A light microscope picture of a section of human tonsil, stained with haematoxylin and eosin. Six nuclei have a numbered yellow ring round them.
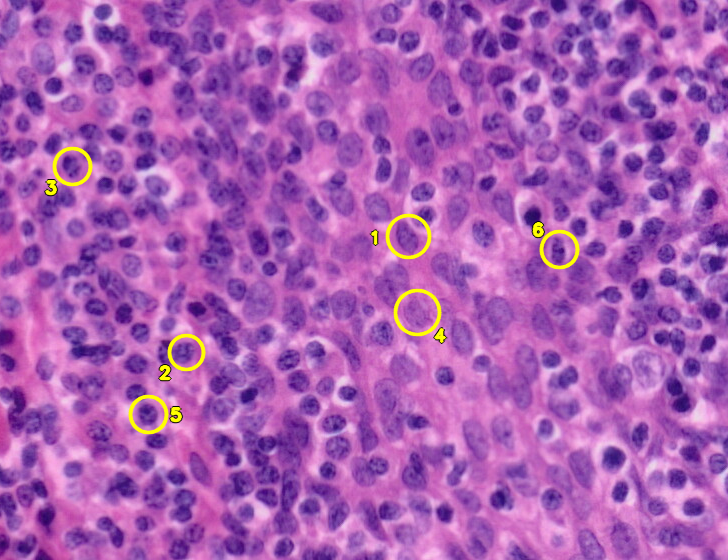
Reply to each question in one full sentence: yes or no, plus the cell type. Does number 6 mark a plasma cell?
No, the cell carrying number 6 is a squamous epithelial cell, not a plasma cell.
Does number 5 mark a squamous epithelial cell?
No, the marked cell 5 is not a squamous epithelial cell, being instead a plasma cell.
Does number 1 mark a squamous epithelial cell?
Yes, the cell carrying number 1 is a squamous epithelial cell.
